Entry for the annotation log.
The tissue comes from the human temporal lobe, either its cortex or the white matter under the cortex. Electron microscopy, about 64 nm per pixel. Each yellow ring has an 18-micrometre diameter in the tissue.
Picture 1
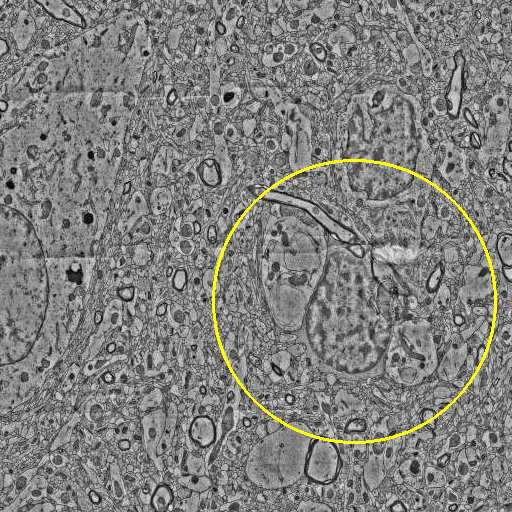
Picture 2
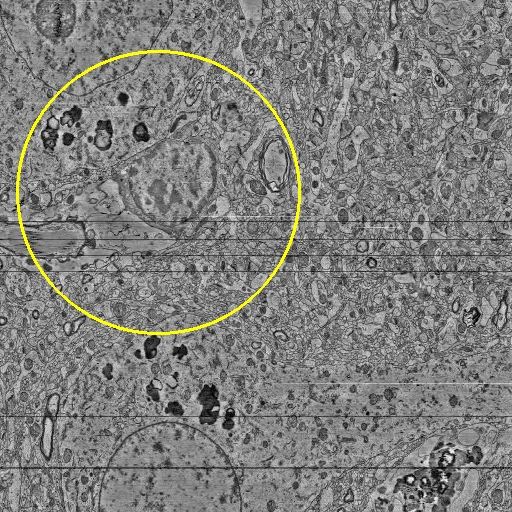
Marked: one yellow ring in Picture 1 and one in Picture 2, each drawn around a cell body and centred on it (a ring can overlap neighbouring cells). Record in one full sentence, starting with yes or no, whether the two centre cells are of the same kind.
Yes, both cells are of the same kind.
